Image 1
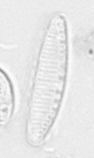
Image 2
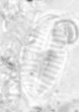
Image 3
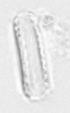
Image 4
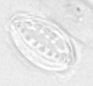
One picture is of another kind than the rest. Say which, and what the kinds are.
Picture 2 shows Craticula; the rest show Nitzschia.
